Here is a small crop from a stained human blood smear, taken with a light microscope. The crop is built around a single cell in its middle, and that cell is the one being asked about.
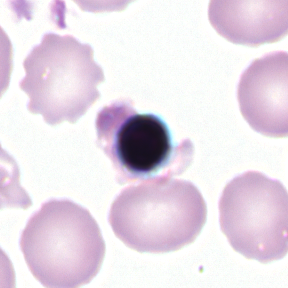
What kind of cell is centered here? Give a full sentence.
The center cell of this crop is an erythroblast.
